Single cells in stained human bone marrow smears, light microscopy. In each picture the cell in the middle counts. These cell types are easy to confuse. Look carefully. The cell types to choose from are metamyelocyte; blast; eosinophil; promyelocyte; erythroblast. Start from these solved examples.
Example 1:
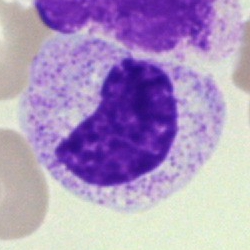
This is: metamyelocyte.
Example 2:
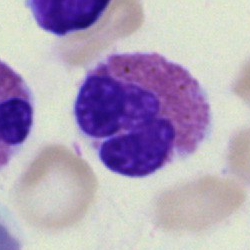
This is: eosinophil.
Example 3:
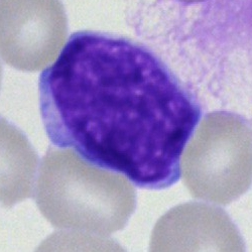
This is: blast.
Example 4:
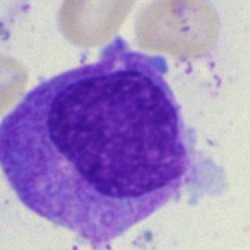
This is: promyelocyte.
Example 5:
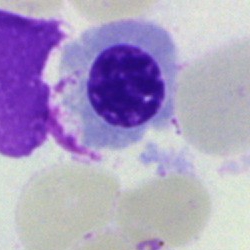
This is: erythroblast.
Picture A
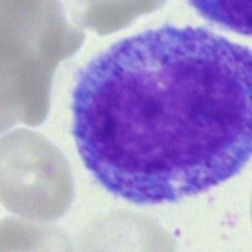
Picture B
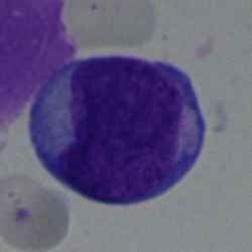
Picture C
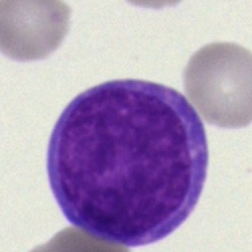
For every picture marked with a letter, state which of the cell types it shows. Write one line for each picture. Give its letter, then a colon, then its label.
A: promyelocyte.
B: blast.
C: blast.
